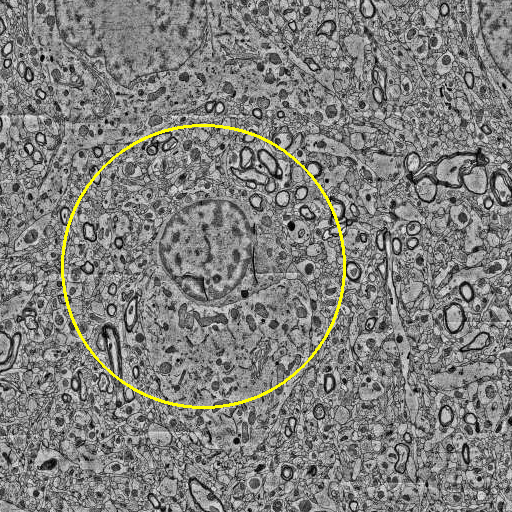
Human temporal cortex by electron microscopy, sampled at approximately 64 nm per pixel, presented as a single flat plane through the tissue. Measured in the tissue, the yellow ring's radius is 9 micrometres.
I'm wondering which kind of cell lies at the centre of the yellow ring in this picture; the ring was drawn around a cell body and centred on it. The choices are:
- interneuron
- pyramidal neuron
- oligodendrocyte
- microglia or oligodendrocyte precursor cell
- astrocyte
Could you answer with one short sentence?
At the centre of the ring lies an oligodendrocyte.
